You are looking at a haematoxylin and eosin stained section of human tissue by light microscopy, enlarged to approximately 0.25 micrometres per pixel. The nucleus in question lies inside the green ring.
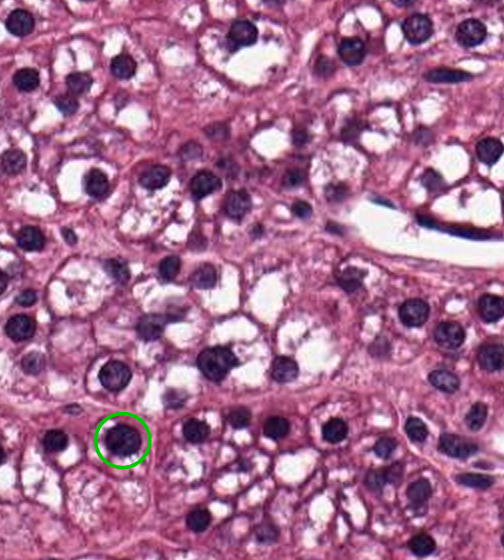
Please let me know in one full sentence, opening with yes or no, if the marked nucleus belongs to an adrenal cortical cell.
Yes, the cell that holds the marked nucleus is an adrenal cortical cell.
